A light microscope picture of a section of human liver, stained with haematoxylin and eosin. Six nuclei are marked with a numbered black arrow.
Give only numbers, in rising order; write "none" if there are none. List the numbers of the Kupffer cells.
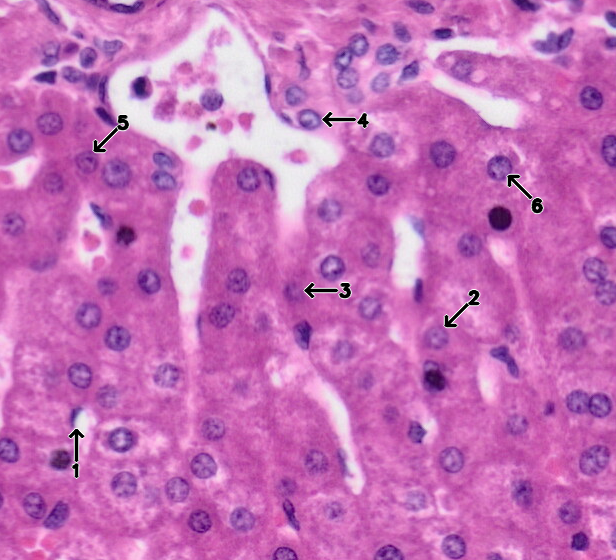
none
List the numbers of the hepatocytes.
2, 3, 5, 6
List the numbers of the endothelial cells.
1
